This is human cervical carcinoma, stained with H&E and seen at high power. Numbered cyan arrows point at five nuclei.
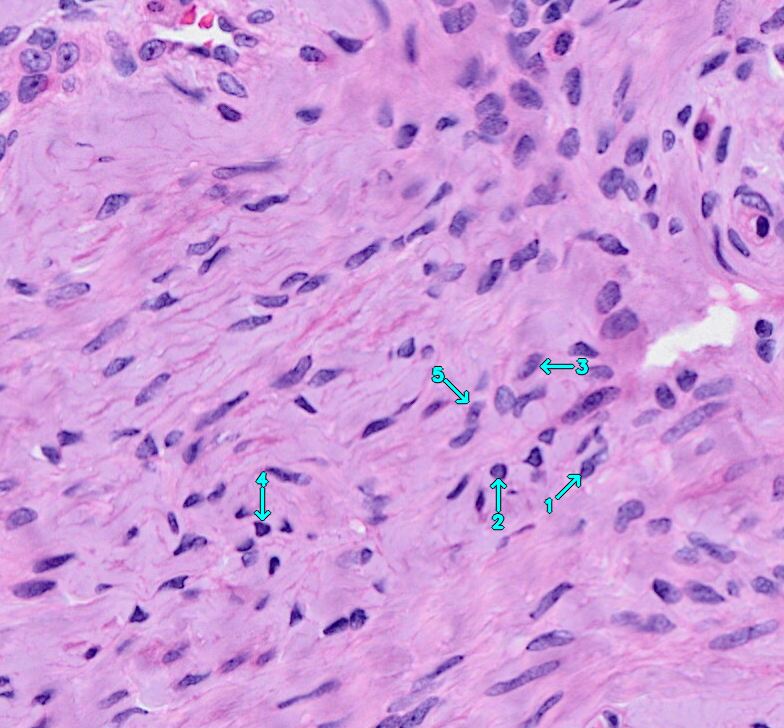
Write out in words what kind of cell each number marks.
Cell 1 is a fibroblast, cell 2 is a fibroblast, cell 3 is a smooth muscle cell, cell 4 is a fibroblast and cell 5 is a smooth muscle cell.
